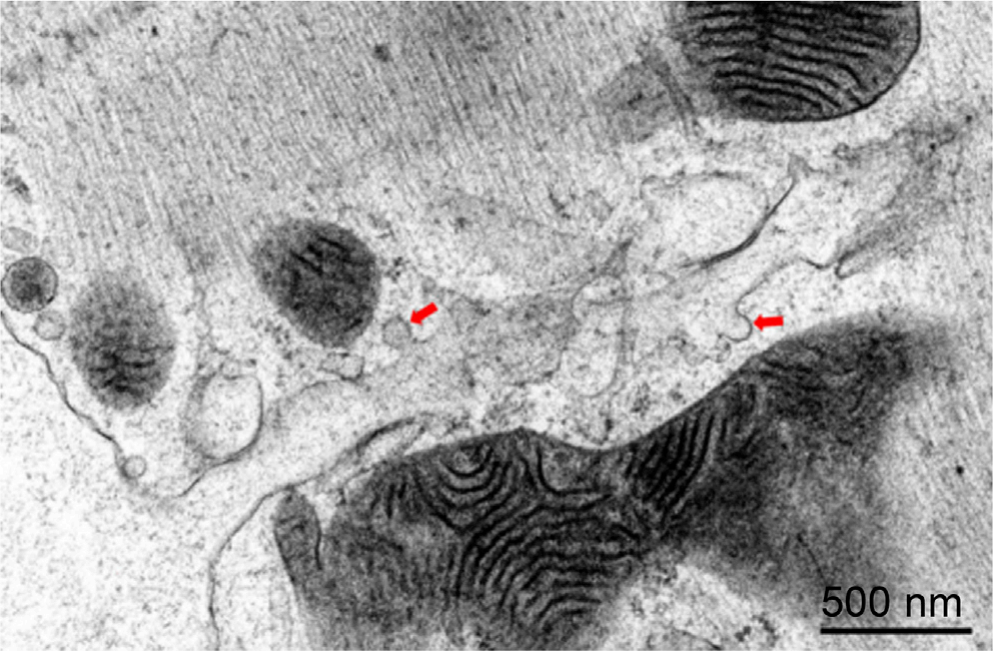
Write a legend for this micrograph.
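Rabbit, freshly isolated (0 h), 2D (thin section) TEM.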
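This electron micrograph shows the cytoplasm of cardiomyocytes. Large, electron-dense mitochondria with many closely packed, wavy cristae lie at the top, at the left and along the bottom. Faint, regularly aligned striations of myofilaments fill the upper left. A pale band between the mitochondria holds many membrane-bound tubular and vesicular profiles.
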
